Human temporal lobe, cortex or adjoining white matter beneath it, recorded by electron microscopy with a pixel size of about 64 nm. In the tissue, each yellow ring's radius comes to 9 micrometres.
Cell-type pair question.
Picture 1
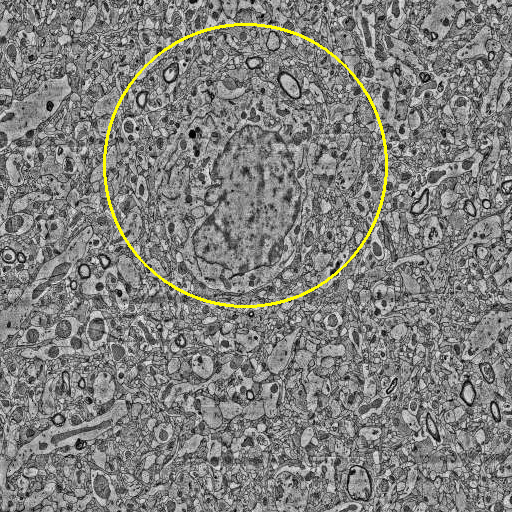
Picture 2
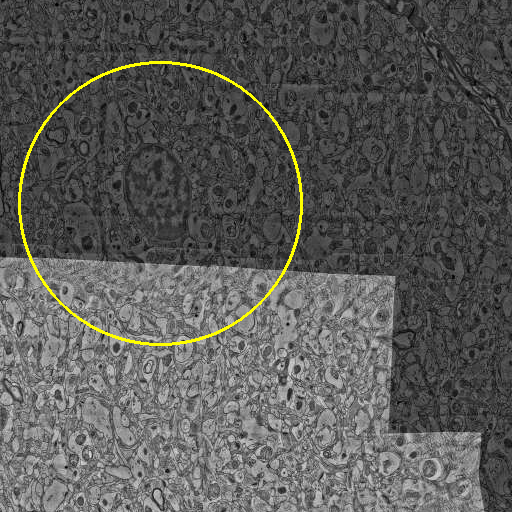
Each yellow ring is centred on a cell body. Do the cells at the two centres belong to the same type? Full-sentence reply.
No, the two cells belong to two types.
